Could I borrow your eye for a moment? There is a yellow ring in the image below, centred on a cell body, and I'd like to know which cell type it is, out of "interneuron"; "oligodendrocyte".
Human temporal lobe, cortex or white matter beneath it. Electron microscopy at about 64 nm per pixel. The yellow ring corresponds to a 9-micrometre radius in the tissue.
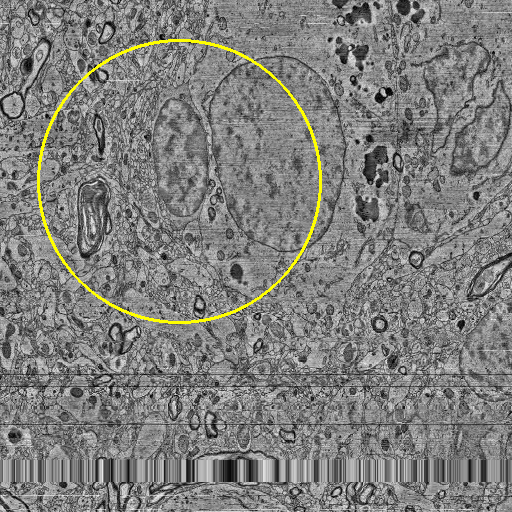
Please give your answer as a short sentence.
The cell body at the centre is that of an oligodendrocyte.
